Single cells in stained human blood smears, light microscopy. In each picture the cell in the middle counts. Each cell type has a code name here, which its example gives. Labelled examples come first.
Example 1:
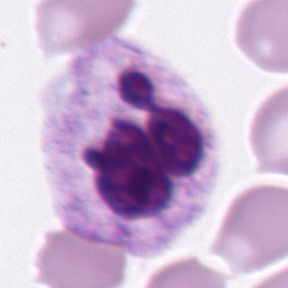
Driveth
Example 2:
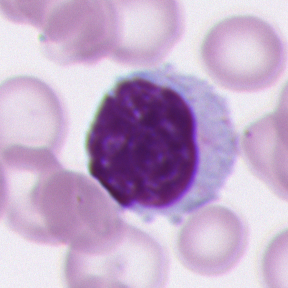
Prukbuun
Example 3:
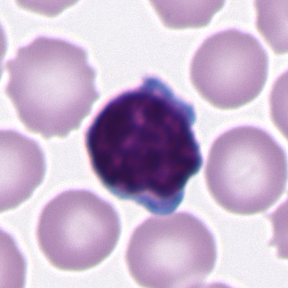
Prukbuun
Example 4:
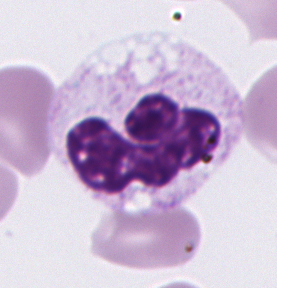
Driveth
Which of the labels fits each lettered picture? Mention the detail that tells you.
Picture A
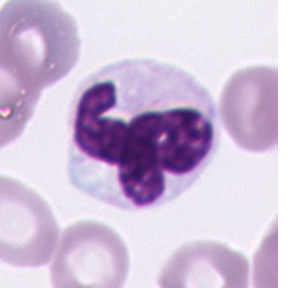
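Driveth. Reason: The cytoplasm is plentiful and pale pinkish-lilac.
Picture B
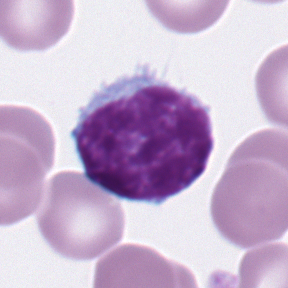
Prukbuun. Reason: The cytoplasm is scant and shows mainly as a thin crescent along the upper side of the nucleus.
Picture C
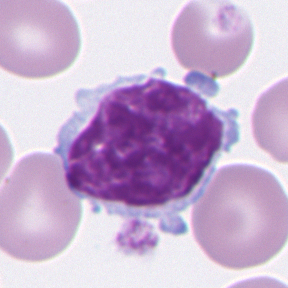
Prukbuun. Reason: The nucleus is unlobed, forming a single mass.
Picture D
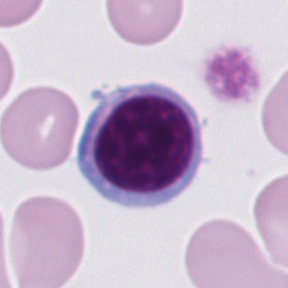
Prukbuun. Reason: The cytoplasm is a narrow pale blue rim around the whole nucleus.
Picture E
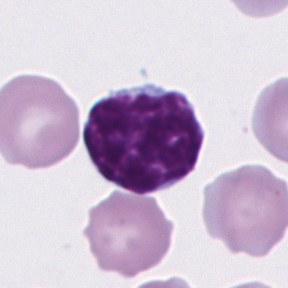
Prukbuun. Reason: The cytoplasm shows only as a thin pale bluish rim along the top edge.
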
